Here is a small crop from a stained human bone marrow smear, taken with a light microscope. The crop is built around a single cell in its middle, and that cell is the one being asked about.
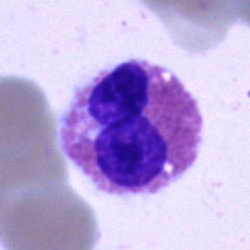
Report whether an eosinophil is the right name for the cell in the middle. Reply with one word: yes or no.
yes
